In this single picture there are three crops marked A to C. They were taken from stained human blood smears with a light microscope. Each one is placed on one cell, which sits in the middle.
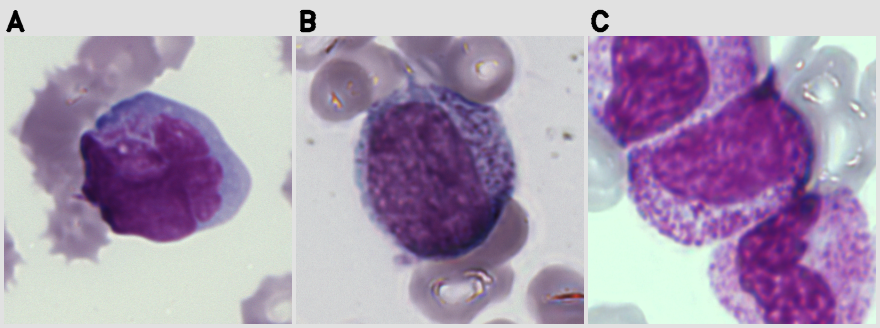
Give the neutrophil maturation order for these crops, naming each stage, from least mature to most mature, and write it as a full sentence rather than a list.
The order from the least mature cell to the most mature cell is crop A (a myeloblast), crop B (a promyelocyte) and crop C (a myelocyte).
